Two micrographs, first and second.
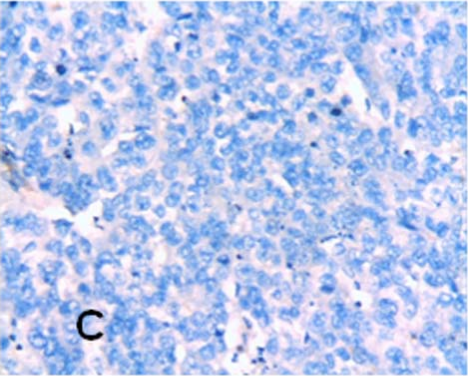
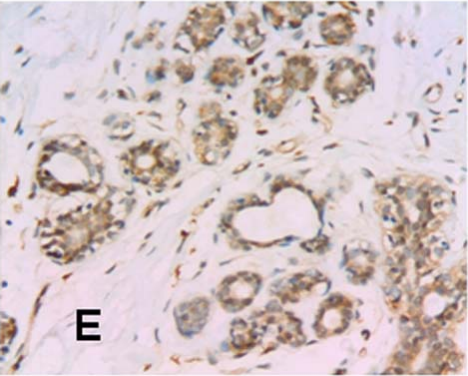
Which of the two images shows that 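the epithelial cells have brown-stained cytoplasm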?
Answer: the second image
